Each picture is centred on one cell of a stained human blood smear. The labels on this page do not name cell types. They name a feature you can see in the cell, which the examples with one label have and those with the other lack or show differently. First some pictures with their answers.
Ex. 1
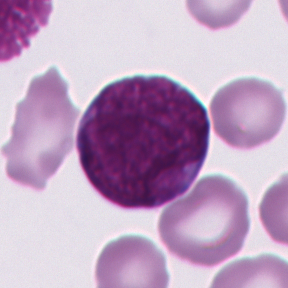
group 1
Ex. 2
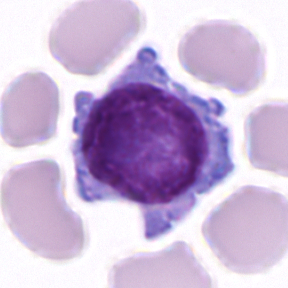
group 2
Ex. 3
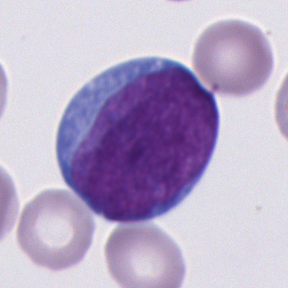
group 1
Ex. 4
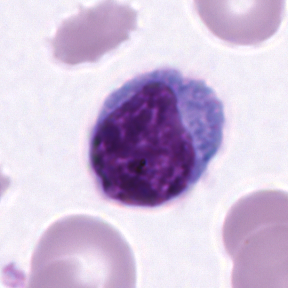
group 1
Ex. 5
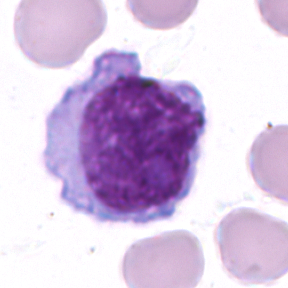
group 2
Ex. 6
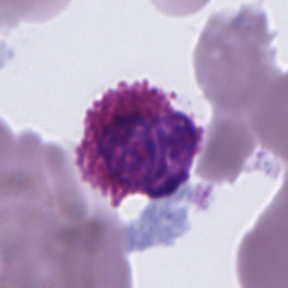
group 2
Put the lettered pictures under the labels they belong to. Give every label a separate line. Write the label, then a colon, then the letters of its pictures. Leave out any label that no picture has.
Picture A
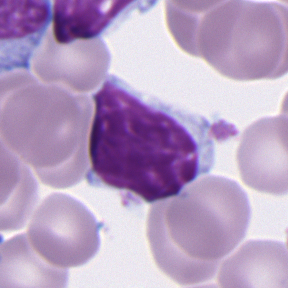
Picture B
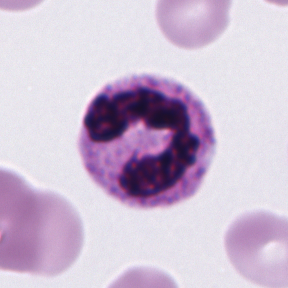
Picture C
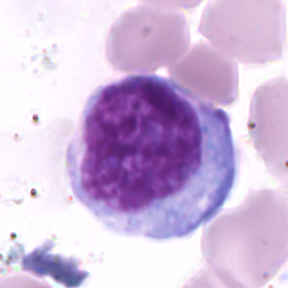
group 1: B, C
group 2: A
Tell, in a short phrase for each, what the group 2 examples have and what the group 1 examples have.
Seen in group 2: ragged outline or projections; seen in group 1: smooth outline.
